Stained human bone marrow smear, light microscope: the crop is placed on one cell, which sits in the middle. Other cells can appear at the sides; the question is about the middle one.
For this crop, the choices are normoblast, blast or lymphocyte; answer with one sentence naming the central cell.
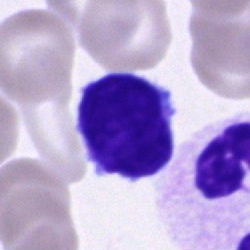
Regarding the central cell, it is a lymphocyte.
